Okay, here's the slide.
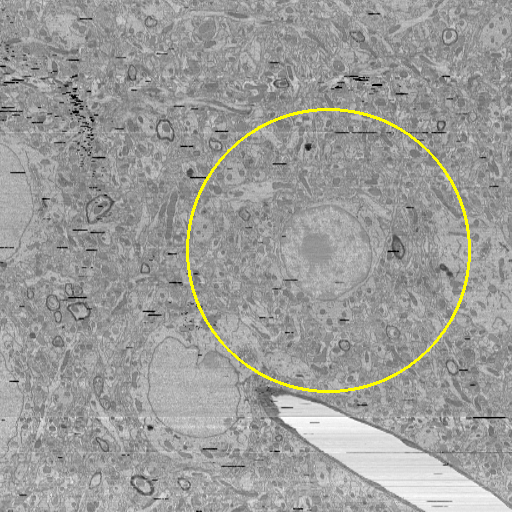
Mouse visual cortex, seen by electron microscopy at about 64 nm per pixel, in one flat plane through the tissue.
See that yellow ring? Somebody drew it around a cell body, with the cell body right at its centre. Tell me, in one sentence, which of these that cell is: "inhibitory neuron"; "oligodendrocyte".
The cell in the middle of the ring is an oligodendrocyte.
